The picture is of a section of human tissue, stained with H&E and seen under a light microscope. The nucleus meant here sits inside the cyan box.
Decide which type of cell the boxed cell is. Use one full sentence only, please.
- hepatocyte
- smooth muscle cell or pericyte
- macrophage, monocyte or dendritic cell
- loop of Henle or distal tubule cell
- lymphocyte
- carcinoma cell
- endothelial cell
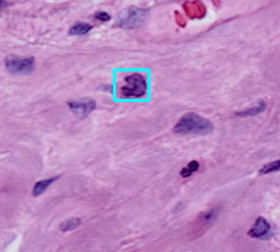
In this section, the boxed cell is a macrophage, monocyte or dendritic cell.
